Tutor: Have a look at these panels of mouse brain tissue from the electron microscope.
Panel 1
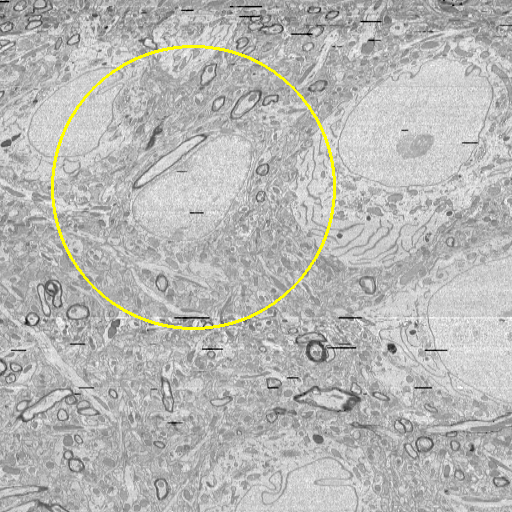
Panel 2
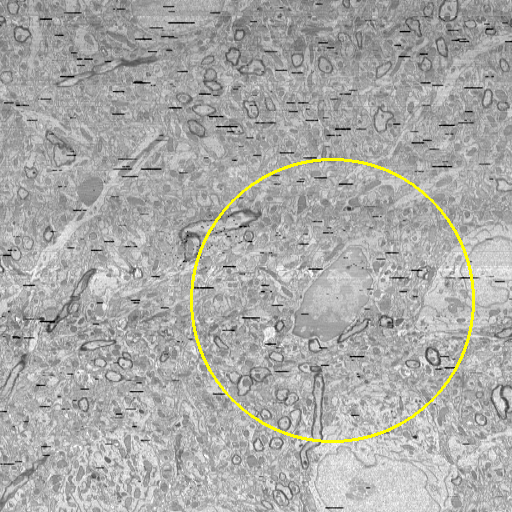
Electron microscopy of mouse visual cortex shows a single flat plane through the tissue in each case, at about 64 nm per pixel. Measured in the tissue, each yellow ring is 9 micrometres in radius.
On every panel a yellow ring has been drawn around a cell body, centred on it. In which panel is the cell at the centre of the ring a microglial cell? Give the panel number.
2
